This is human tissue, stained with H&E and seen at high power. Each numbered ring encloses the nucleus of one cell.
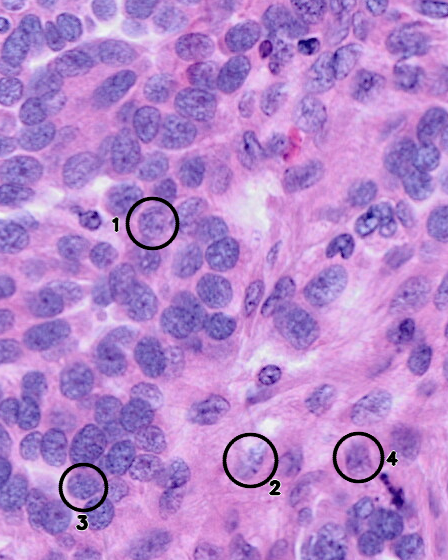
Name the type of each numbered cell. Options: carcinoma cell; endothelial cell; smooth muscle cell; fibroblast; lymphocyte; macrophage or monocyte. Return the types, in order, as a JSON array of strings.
["carcinoma cell", "fibroblast", "carcinoma cell", "fibroblast"]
